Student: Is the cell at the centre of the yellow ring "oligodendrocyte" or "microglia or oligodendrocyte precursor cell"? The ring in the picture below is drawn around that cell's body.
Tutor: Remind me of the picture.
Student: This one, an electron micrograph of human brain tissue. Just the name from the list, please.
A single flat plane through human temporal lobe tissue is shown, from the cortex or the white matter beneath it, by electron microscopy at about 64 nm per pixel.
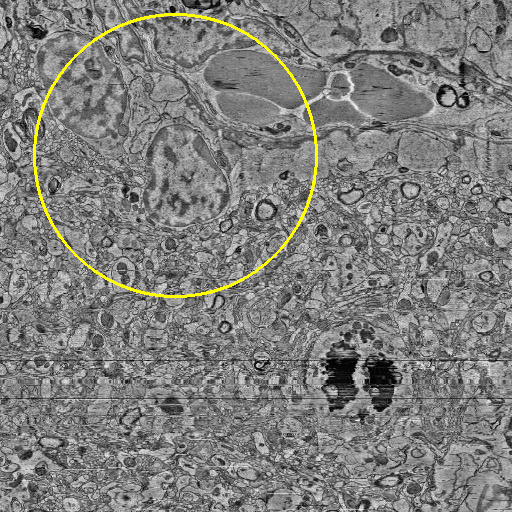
microglia or oligodendrocyte precursor cell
